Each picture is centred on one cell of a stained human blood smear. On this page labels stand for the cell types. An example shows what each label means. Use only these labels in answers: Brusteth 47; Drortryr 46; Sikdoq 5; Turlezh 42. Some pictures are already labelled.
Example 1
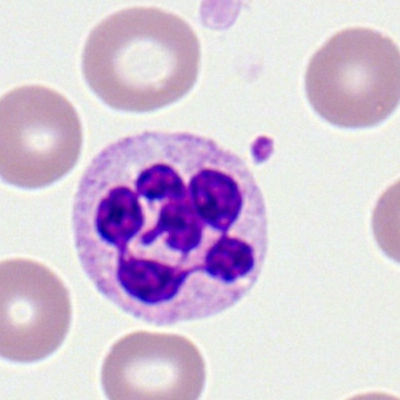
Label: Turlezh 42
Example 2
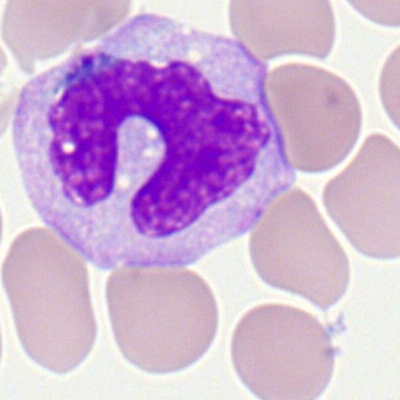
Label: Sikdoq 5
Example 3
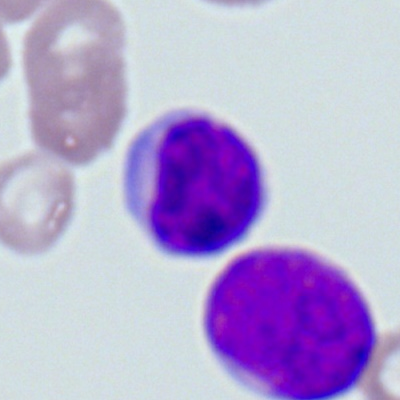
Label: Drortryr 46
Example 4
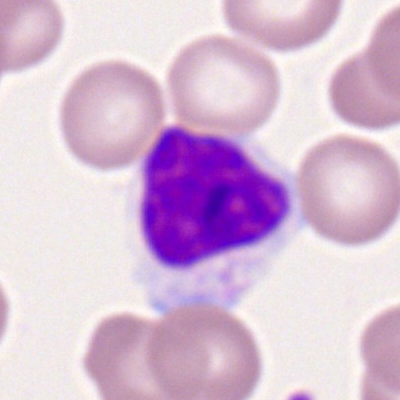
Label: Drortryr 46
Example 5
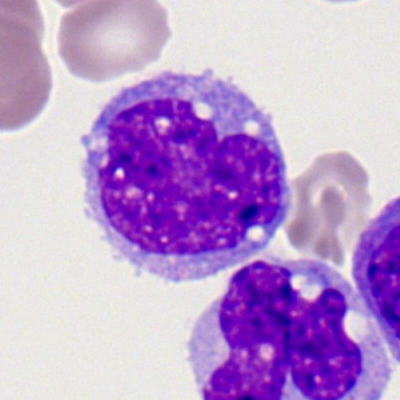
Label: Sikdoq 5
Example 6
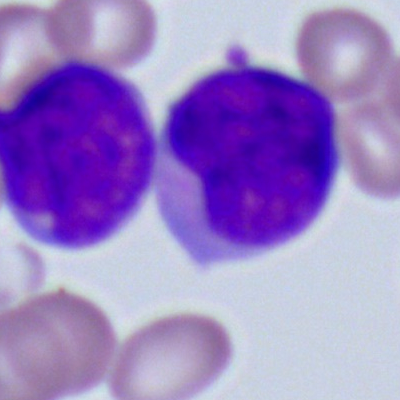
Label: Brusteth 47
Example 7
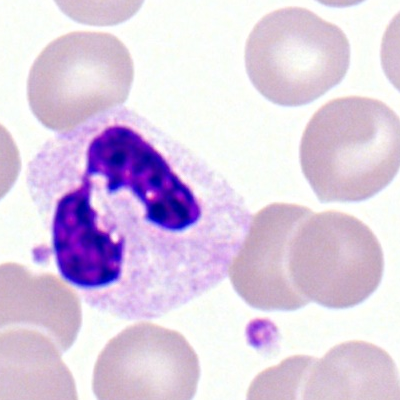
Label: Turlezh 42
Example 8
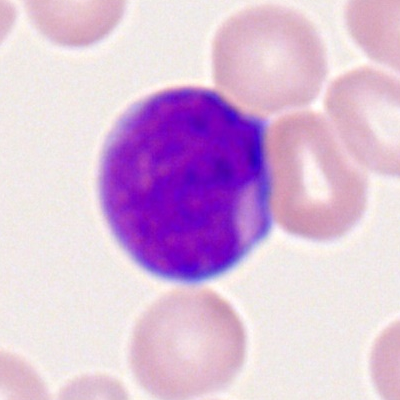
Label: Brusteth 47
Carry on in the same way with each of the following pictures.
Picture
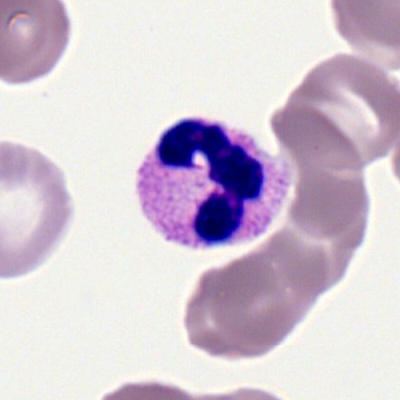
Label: Turlezh 42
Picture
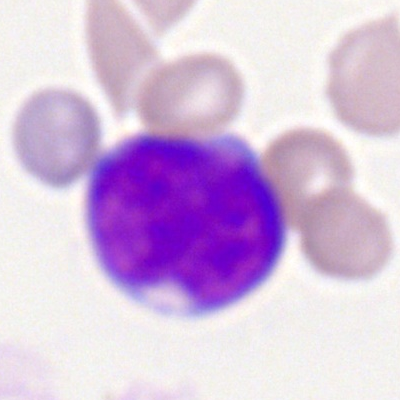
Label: Brusteth 47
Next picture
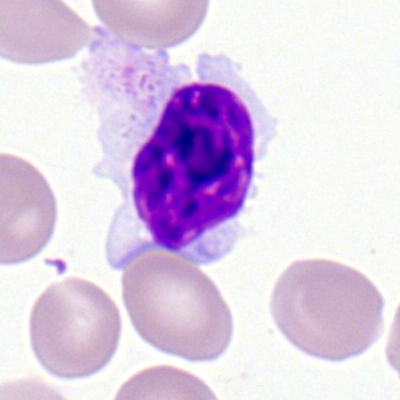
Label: Drortryr 46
